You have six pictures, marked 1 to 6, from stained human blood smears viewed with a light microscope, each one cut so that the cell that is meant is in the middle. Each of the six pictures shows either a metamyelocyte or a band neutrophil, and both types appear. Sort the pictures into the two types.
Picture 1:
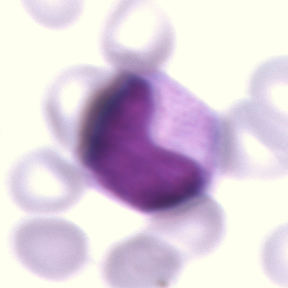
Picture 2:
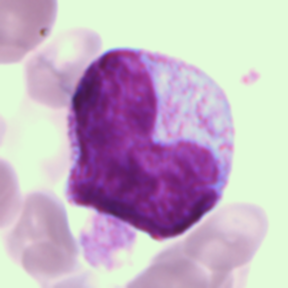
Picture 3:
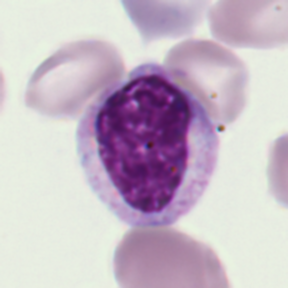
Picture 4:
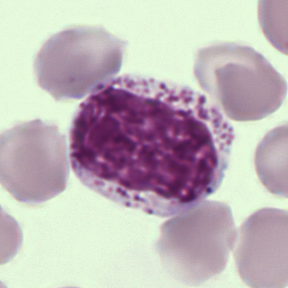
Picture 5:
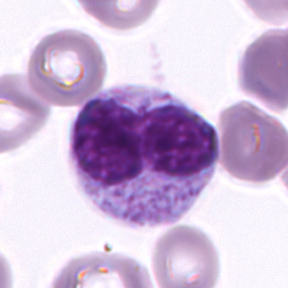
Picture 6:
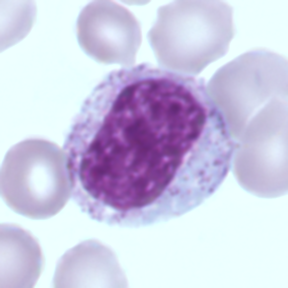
1: band neutrophil
2: band neutrophil
3: metamyelocyte
4: metamyelocyte
5: band neutrophil
6: metamyelocyte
